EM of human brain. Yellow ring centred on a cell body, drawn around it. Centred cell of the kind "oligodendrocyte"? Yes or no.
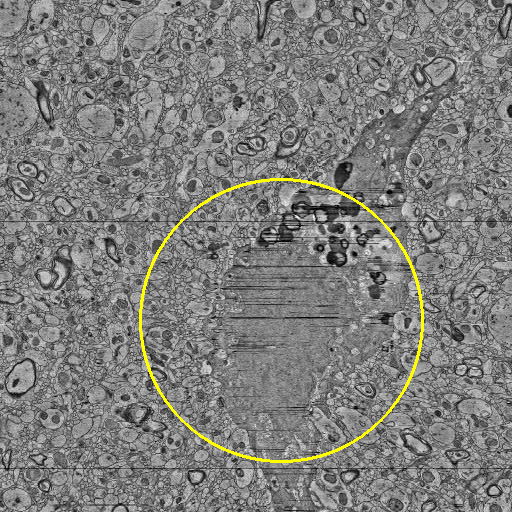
no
